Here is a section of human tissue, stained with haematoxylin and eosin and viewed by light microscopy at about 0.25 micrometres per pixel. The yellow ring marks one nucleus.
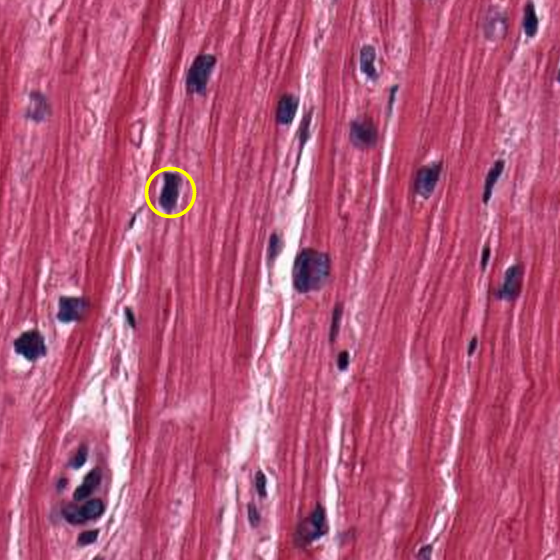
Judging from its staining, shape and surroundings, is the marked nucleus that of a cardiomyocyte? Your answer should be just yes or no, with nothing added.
yes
